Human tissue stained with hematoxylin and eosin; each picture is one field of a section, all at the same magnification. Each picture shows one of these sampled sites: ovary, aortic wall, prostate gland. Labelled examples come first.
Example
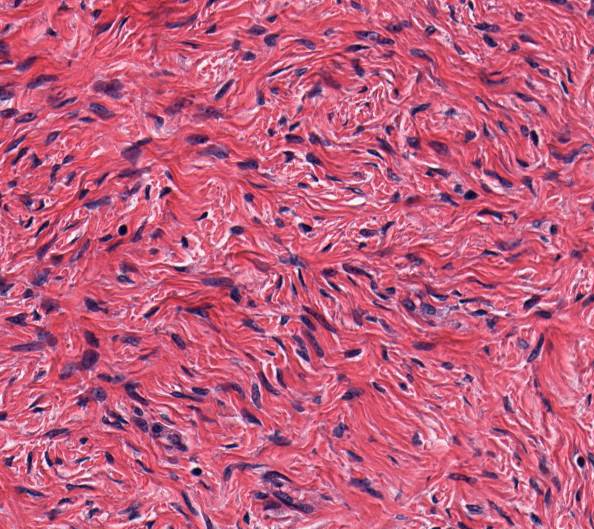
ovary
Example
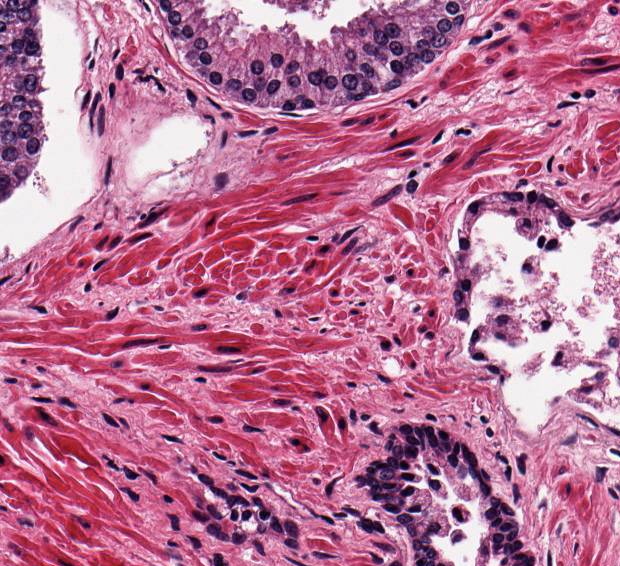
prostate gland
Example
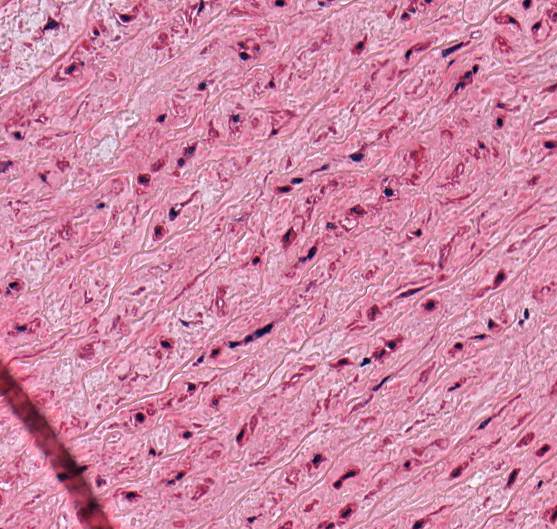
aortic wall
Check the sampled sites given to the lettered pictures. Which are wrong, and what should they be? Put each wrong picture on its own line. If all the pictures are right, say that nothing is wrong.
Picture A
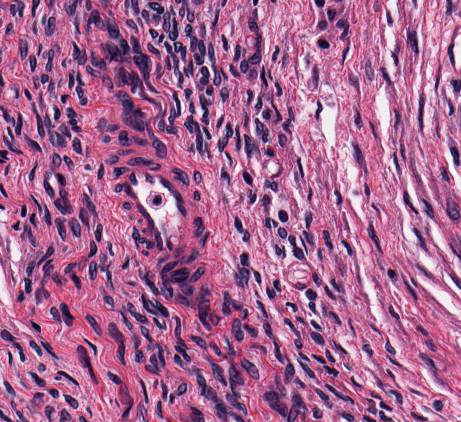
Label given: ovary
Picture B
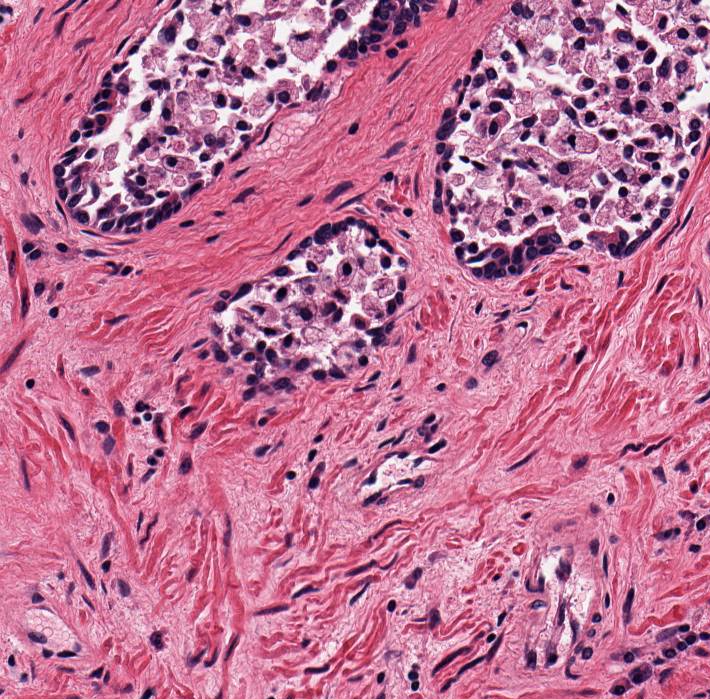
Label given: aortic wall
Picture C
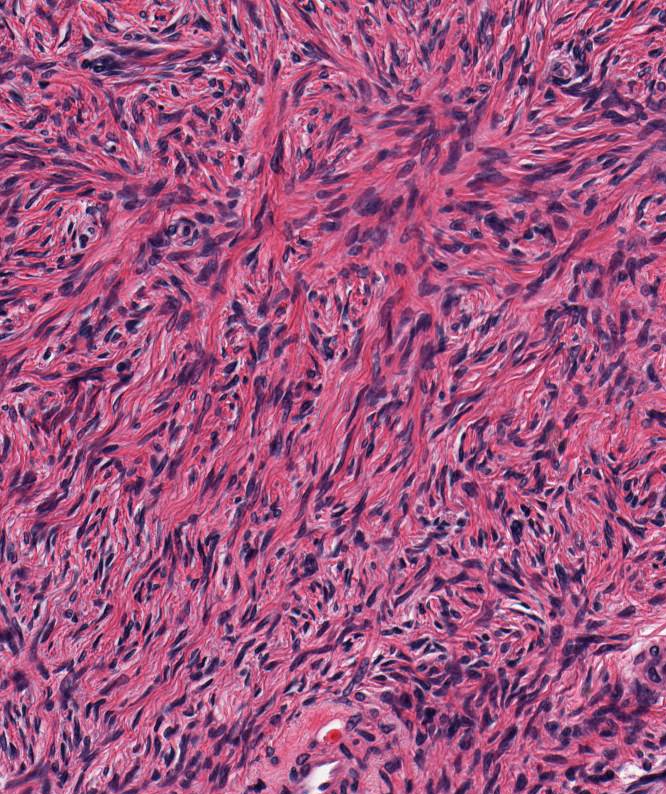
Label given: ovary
B: not aortic wall but prostate gland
